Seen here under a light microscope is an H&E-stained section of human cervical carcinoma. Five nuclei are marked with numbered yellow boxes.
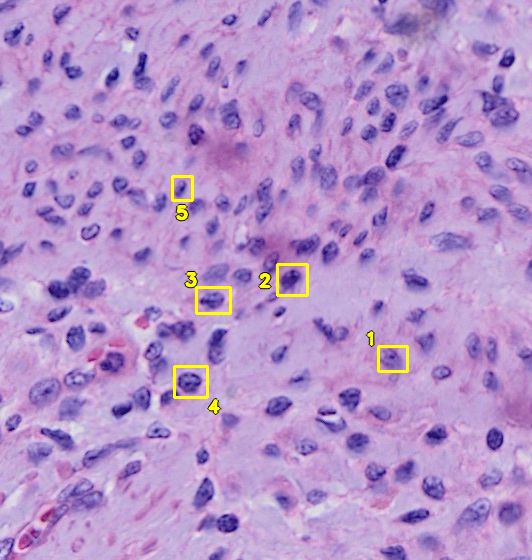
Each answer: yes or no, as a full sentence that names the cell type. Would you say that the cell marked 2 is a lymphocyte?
Yes, the cell labelled with number 2 is a lymphocyte.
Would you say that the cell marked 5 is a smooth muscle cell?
Yes, number 5 is assigned to a cell that is a smooth muscle cell.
